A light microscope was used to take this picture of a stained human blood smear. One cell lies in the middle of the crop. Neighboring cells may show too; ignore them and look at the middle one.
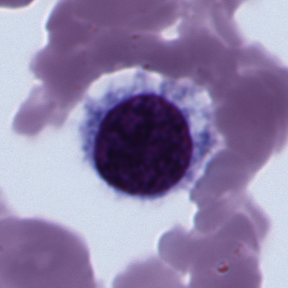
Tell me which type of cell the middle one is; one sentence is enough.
The cell at the middle of the frame should be recorded as a hairy cell.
